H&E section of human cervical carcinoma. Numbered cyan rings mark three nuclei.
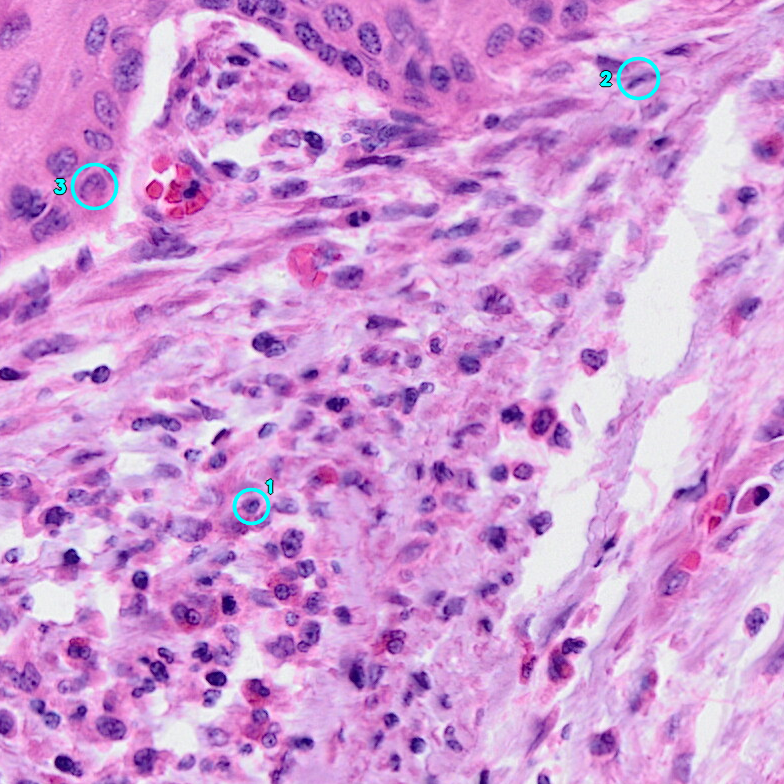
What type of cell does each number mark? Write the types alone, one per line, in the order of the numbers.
lymphocyte
fibroblast
squamous carcinoma cell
